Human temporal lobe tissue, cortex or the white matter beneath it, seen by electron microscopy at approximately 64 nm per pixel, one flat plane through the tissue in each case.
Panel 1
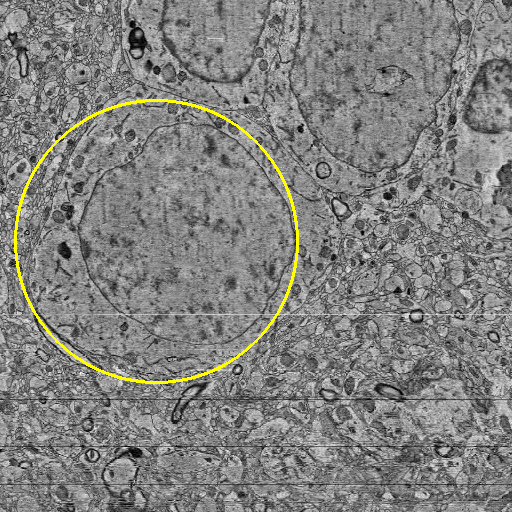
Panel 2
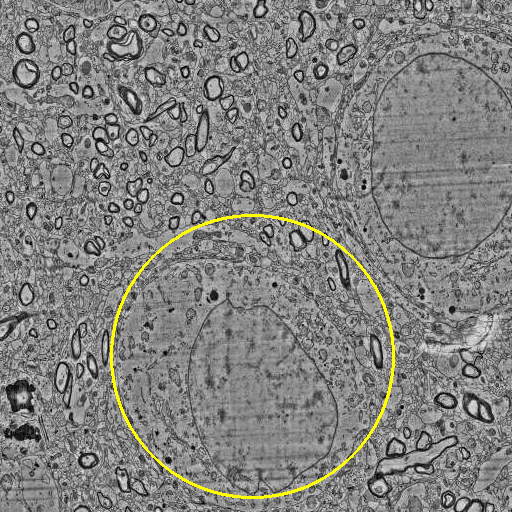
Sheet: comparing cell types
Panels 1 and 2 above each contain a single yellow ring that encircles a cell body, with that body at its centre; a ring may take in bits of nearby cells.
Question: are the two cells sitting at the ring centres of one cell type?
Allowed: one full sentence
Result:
Yes, the ring-centre cells in Panel 1 and Panel 2 are of one type.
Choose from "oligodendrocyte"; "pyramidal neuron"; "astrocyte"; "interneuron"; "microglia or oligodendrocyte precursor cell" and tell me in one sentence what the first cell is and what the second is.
In both pictures the ring is centred on a pyramidal neuron.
